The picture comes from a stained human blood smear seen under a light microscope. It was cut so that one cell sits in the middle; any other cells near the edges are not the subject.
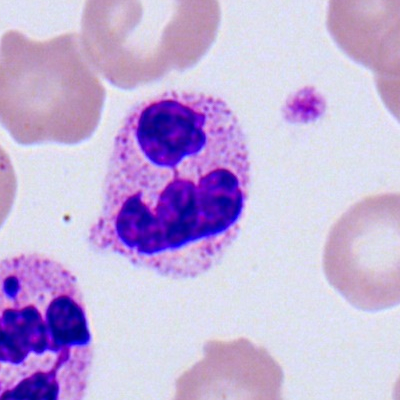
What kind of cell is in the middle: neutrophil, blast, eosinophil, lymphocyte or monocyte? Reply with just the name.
neutrophil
